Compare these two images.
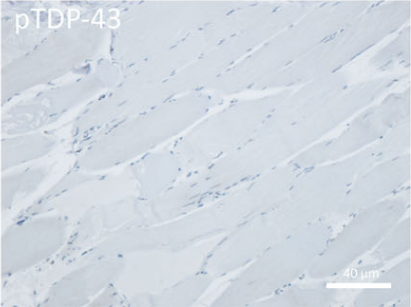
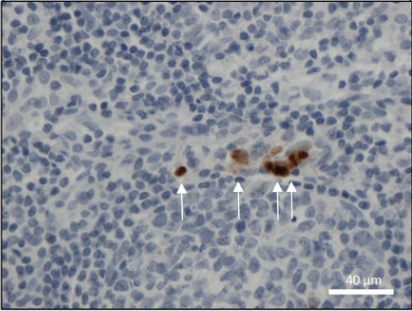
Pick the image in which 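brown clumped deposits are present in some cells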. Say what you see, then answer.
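First image: only blue counterstained nuclei among pale fibres, no brown deposits. Second image: several cells hold dense brown clumps. On this evidence: the second image.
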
